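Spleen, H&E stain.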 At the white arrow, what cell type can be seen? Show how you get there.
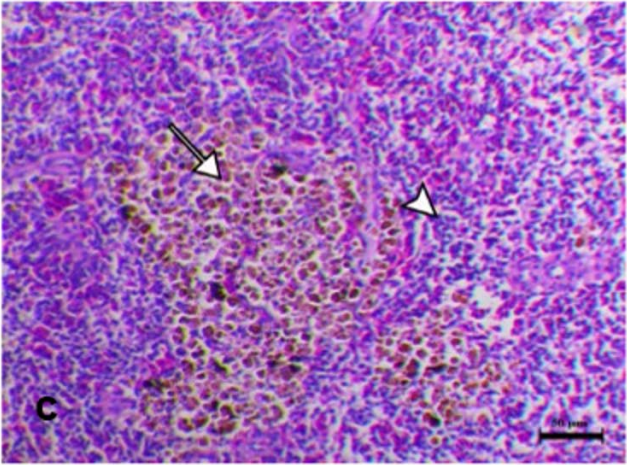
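A broad aggregate of rounded cells containing brown-yellow pigment. Some darker black granules scattered within the aggregate.
Hence: melanomacrophage cells.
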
